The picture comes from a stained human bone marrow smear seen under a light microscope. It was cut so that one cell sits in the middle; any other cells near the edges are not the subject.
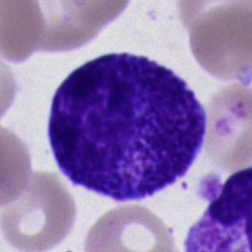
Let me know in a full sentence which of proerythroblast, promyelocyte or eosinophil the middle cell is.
Framed in the middle of the crop is a promyelocyte.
